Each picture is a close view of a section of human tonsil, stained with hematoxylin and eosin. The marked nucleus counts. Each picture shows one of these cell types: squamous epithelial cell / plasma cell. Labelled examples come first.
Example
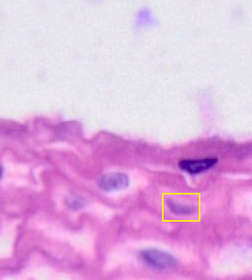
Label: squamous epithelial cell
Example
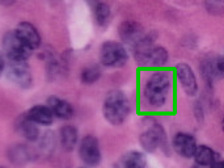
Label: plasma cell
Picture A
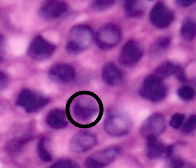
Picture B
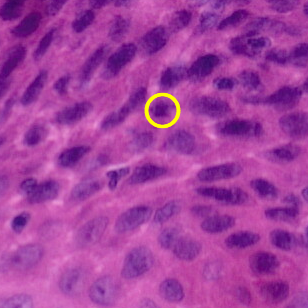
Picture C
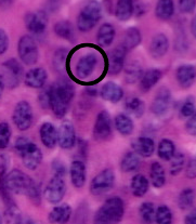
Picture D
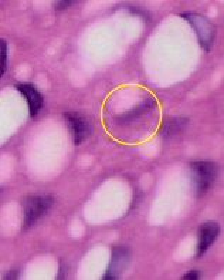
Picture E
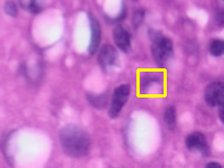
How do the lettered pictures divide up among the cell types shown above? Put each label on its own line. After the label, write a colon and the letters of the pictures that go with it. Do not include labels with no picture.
squamous epithelial cell: A, B, D, E
plasma cell: C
